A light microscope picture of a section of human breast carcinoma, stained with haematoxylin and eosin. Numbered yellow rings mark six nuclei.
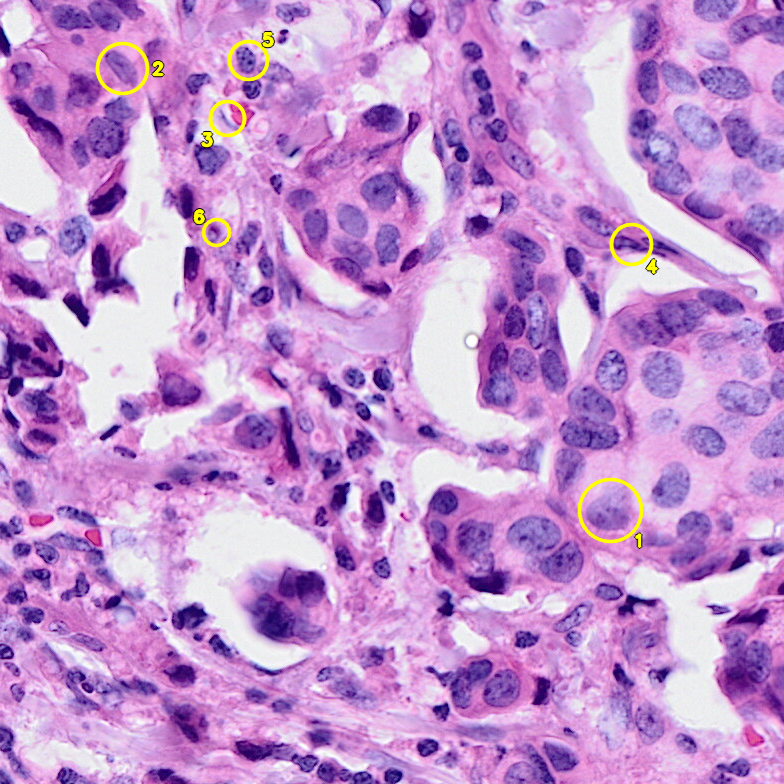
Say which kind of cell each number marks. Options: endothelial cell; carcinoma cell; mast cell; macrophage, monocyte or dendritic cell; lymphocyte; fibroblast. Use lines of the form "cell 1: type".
cell 1: carcinoma cell
cell 2: carcinoma cell
cell 3: endothelial cell
cell 4: endothelial cell
cell 5: mast cell
cell 6: macrophage, monocyte or dendritic cell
